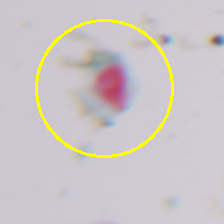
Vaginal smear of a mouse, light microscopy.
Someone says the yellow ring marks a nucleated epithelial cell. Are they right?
They are right: it is a nucleated epithelial cell.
